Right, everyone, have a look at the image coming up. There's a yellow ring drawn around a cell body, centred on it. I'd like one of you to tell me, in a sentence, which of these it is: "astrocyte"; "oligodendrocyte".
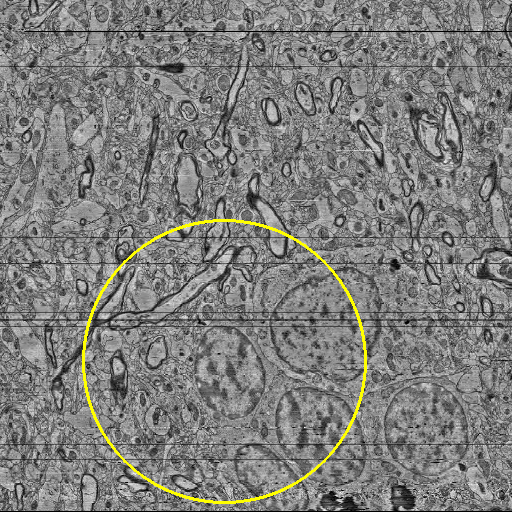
The yellow ring sits on an oligodendrocyte.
